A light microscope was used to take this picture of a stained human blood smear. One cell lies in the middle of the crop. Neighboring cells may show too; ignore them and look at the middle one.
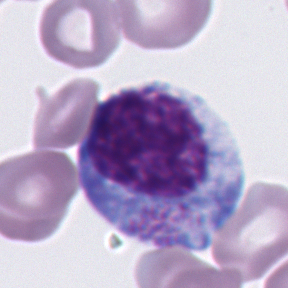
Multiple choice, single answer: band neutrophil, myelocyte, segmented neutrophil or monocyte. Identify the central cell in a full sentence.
The center cell of this crop is a myelocyte.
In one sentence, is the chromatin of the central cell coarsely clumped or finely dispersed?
You can see that its chromatin is coarsely clumped.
